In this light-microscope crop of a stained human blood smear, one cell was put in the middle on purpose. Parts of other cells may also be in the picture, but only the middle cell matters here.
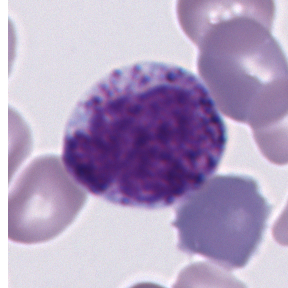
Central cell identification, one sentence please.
The middle of this crop is occupied by a basophil.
